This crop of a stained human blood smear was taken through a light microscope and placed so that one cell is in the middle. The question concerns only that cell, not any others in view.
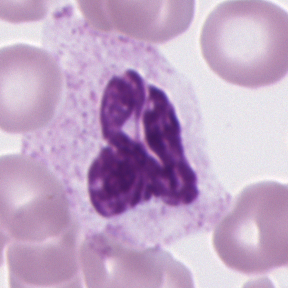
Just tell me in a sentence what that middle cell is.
By classification, the middle cell of this crop is a segmented neutrophil.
